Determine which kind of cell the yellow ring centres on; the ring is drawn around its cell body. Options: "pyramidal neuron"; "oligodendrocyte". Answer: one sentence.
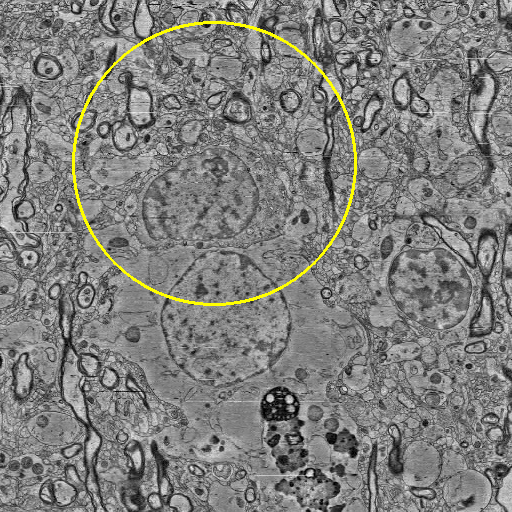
The ring centres on an oligodendrocyte.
